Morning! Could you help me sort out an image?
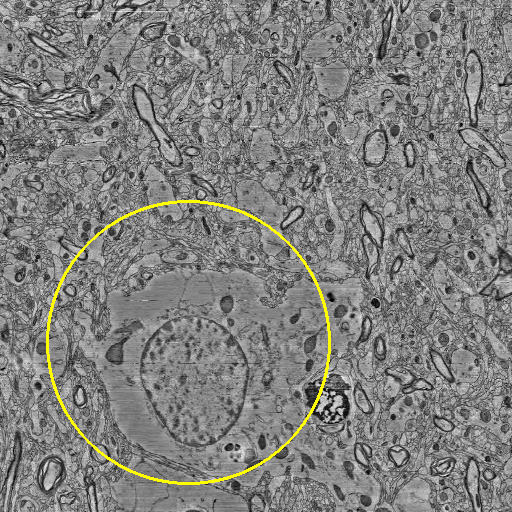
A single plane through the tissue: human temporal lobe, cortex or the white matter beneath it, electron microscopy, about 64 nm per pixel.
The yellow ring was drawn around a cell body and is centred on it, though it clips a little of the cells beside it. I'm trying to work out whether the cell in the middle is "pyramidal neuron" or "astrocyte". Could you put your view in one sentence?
The ringed cell body is that of an astrocyte.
